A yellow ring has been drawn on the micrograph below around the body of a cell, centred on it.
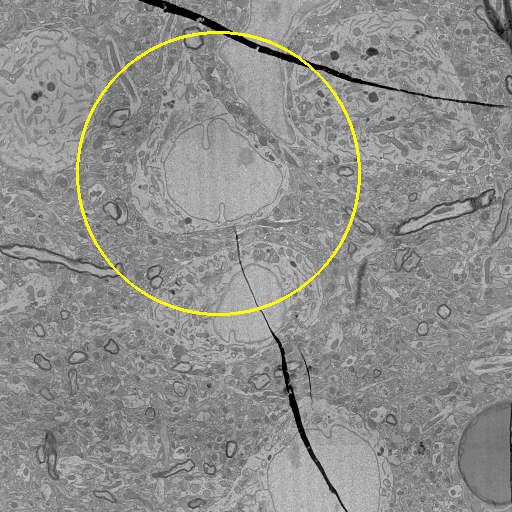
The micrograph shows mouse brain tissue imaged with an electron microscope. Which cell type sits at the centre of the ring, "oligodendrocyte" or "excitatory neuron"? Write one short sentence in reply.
The cell sitting at the centre of the ring is an excitatory neuron.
